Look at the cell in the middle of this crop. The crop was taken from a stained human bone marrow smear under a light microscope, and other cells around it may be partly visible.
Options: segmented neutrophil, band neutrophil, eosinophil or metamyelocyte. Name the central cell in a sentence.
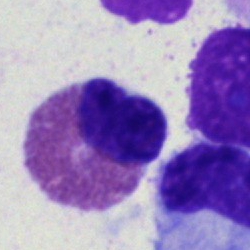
The cell of interest, in the center, is an eosinophil.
